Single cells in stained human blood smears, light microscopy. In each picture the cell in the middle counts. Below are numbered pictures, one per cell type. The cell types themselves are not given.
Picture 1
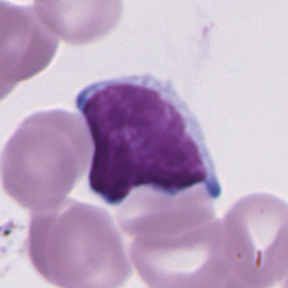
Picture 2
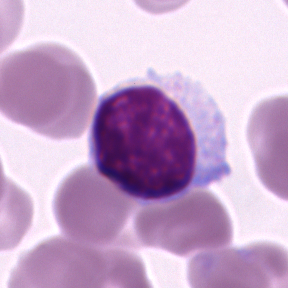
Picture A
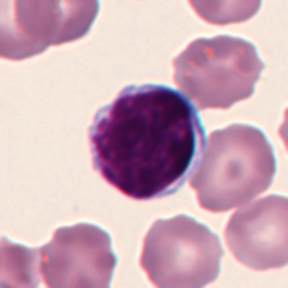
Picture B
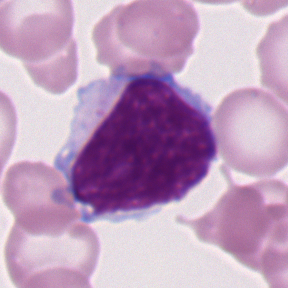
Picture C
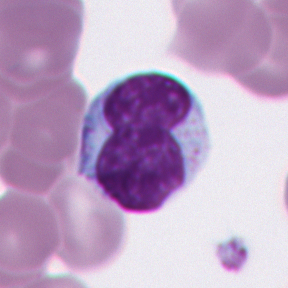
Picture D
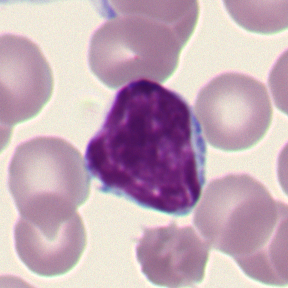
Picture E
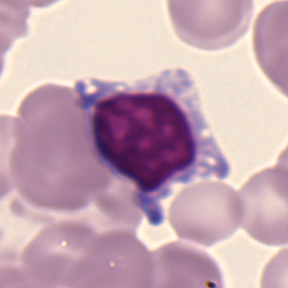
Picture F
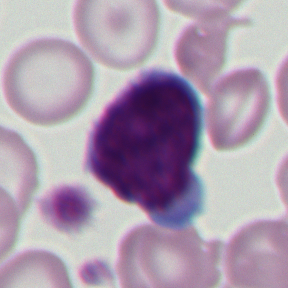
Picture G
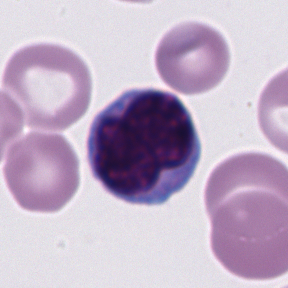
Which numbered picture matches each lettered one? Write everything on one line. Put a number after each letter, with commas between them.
A 1, B 1, C 1, D 1, E 1, F 1, G 1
